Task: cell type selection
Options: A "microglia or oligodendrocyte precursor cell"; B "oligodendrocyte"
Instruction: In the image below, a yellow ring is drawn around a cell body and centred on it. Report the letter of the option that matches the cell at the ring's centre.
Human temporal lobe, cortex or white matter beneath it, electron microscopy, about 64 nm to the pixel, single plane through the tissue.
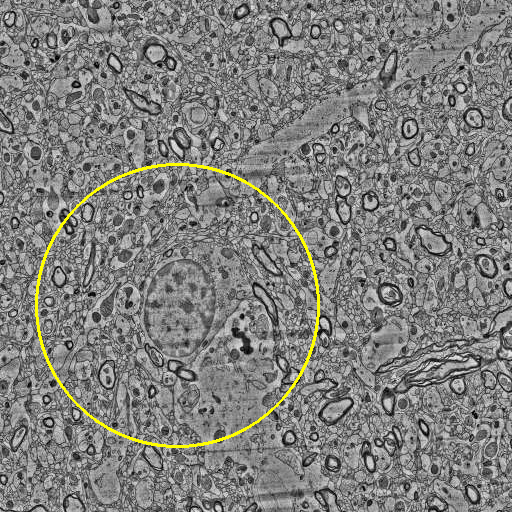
B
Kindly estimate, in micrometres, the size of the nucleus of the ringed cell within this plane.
In this plane the nucleus spans approximately 6 by 4 micrometers.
